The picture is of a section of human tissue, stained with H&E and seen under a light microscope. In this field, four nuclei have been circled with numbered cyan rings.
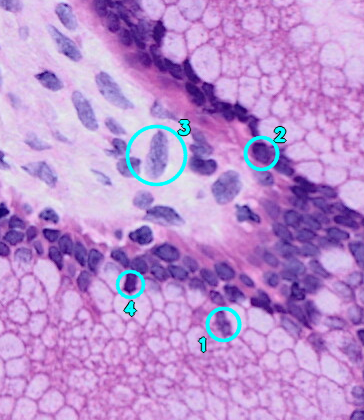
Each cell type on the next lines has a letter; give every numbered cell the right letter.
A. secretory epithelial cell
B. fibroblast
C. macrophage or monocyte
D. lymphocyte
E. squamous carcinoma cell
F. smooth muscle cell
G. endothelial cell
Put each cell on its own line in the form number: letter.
1: A
2: A
3: B
4: A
